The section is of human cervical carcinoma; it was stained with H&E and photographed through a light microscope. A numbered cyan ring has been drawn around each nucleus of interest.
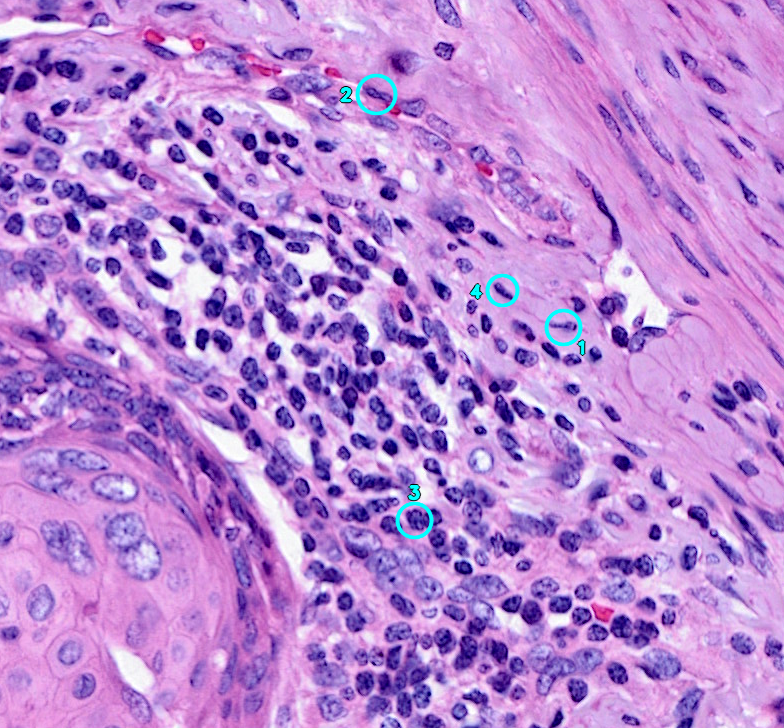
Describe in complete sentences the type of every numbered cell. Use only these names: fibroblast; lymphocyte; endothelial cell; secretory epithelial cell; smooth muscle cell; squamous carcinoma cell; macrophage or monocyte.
Cell 1 is a fibroblast, cell 2 is an endothelial cell, cell 3 is a lymphocyte and cell 4 is a fibroblast.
